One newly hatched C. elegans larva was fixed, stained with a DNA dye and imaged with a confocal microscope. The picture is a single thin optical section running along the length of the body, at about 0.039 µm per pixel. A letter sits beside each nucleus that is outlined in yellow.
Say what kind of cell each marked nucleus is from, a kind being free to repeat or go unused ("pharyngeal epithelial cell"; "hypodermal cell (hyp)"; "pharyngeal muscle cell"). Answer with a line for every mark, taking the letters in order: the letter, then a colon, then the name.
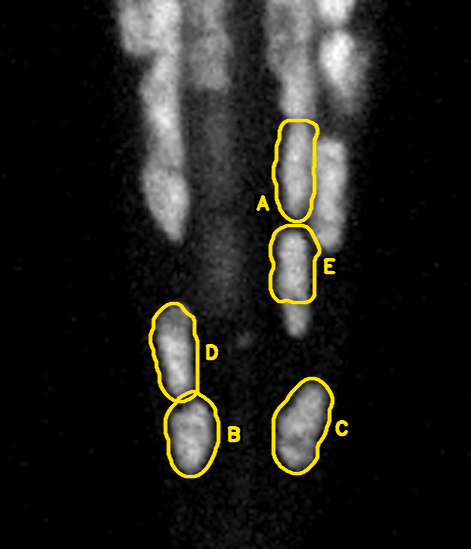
A: pharyngeal muscle cell
B: hypodermal cell (hyp)
C: hypodermal cell (hyp)
D: hypodermal cell (hyp)
E: pharyngeal epithelial cell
